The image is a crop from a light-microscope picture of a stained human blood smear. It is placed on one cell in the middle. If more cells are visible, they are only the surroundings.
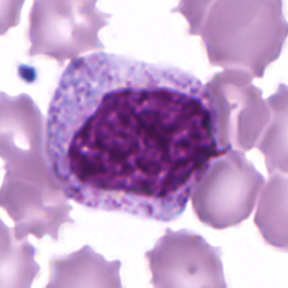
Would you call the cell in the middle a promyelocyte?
no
